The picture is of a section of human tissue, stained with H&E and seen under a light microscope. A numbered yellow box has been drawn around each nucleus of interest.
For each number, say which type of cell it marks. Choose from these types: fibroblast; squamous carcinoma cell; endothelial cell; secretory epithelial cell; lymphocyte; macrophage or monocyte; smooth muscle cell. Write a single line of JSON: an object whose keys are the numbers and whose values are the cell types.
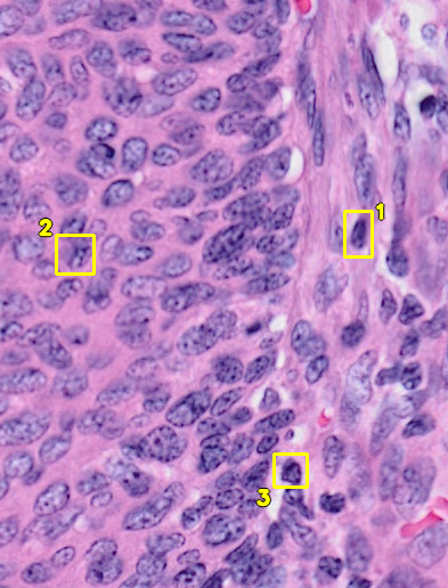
{"1": "lymphocyte", "2": "squamous carcinoma cell", "3": "lymphocyte"}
